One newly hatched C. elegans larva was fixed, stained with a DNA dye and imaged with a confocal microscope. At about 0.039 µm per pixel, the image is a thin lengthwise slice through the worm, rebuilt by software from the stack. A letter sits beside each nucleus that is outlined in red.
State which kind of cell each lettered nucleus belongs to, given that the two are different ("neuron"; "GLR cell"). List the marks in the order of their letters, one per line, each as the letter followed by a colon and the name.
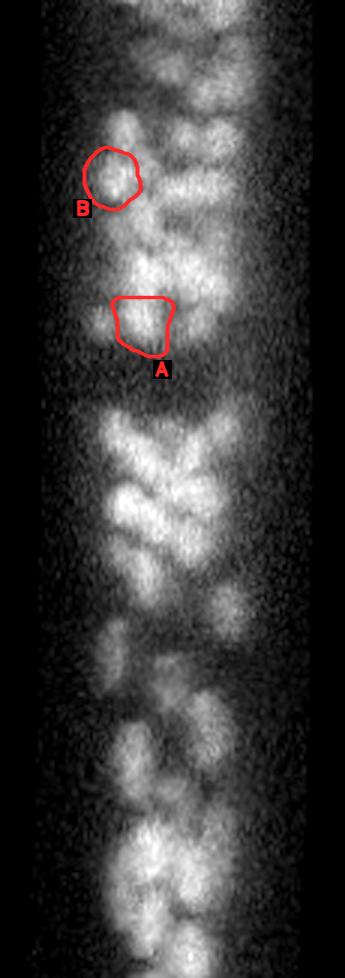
A: GLR cell
B: neuron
